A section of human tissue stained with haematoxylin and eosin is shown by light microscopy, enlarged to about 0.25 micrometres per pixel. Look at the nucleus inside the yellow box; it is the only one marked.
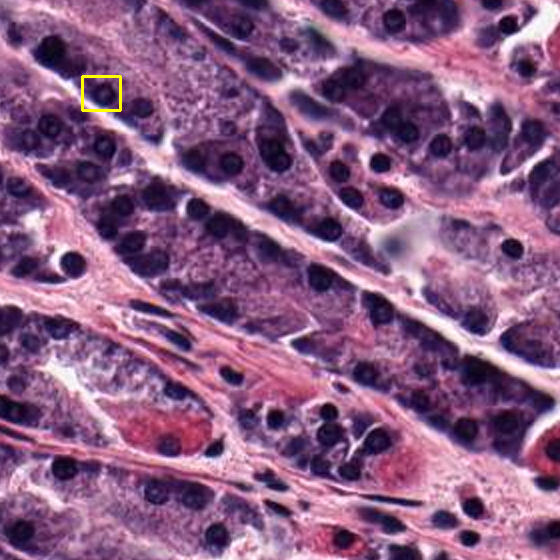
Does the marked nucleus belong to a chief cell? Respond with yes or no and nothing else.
yes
